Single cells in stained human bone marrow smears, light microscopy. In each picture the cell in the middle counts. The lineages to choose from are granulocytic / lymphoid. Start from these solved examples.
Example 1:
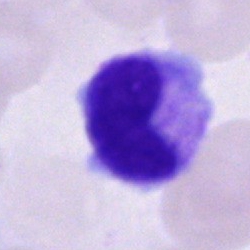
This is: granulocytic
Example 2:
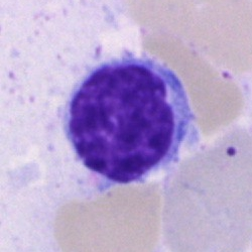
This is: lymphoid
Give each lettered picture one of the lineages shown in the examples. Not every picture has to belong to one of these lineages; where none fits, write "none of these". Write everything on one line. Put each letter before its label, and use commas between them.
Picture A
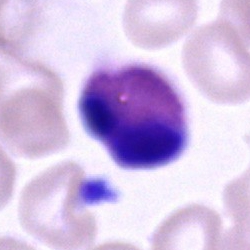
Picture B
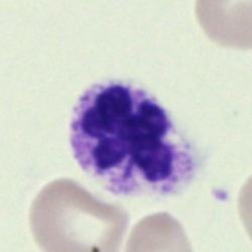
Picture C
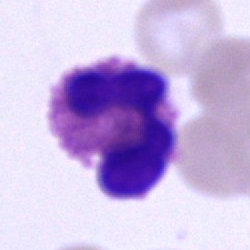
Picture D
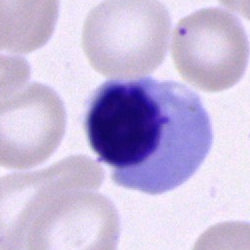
A granulocytic, B granulocytic, C granulocytic, D none of these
